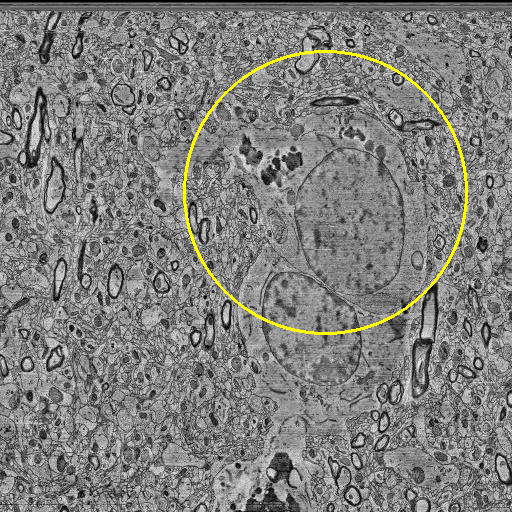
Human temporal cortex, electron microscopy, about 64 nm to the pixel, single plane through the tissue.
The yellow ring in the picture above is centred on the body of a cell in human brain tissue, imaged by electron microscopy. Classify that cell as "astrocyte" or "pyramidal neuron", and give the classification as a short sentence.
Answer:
The cell in the middle of the ring is an astrocyte.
